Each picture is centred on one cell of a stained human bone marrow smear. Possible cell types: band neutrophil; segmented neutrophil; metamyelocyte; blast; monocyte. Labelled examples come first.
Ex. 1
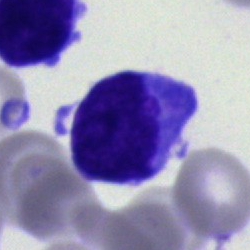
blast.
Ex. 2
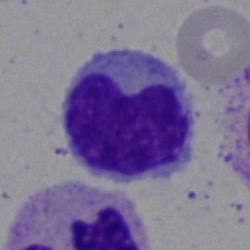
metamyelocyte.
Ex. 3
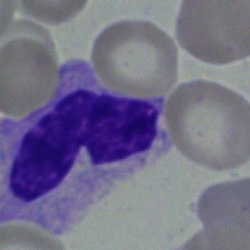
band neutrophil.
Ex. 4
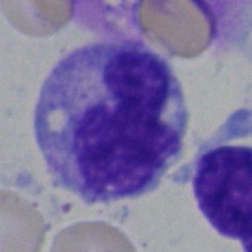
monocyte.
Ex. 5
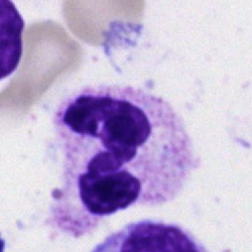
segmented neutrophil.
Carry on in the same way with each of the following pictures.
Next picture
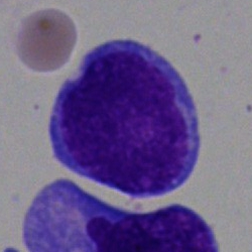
blast.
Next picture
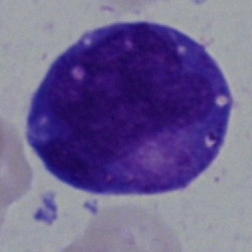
blast.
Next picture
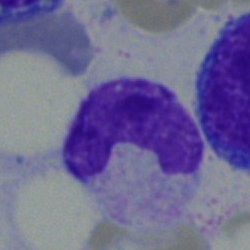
band neutrophil.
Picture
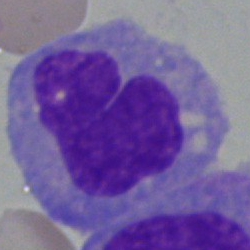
monocyte.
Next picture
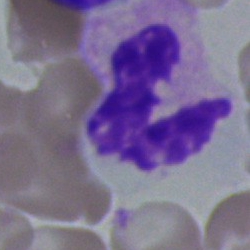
segmented neutrophil.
